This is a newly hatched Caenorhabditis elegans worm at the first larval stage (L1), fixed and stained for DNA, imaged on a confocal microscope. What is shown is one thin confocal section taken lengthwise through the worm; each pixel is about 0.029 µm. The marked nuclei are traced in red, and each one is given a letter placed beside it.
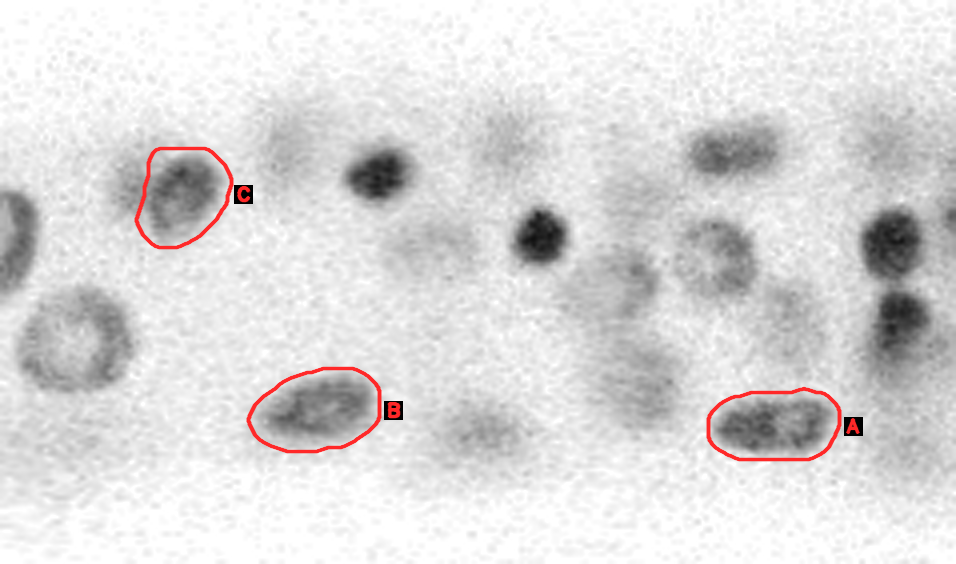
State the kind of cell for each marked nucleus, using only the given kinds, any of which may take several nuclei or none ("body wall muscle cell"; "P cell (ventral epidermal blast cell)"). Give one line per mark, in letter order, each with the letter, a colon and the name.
A: body wall muscle cell
B: body wall muscle cell
C: P cell (ventral epidermal blast cell)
